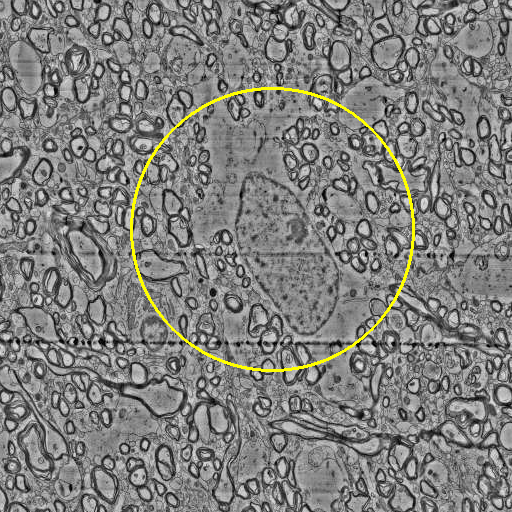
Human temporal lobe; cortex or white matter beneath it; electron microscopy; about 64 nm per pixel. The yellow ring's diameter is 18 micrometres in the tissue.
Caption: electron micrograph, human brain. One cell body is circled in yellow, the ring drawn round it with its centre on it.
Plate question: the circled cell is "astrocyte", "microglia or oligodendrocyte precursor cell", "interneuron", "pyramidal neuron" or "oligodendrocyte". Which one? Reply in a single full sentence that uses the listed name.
The yellow ring on the plate is centred on an astrocyte, going by the listed names.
